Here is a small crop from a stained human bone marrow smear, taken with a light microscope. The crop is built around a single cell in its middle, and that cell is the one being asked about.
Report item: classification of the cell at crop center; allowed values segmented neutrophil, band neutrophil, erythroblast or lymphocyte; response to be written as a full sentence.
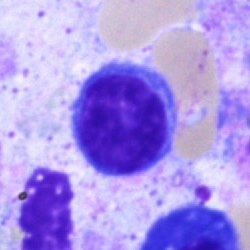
At the middle of the frame sits a lymphocyte.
